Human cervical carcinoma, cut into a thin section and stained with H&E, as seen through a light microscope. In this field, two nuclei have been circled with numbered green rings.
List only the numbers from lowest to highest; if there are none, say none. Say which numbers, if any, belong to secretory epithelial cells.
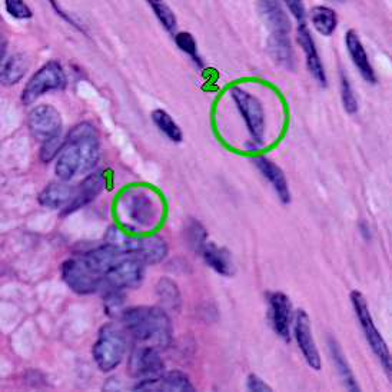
1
